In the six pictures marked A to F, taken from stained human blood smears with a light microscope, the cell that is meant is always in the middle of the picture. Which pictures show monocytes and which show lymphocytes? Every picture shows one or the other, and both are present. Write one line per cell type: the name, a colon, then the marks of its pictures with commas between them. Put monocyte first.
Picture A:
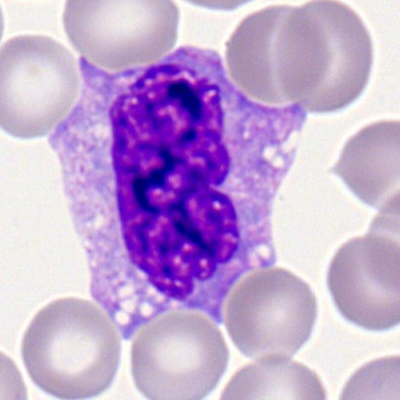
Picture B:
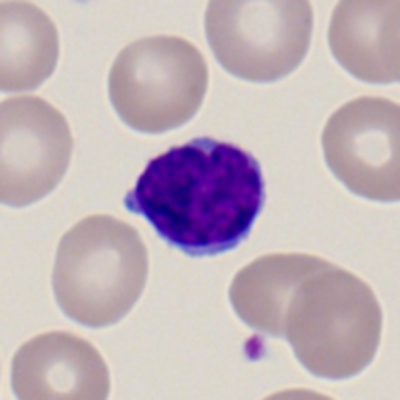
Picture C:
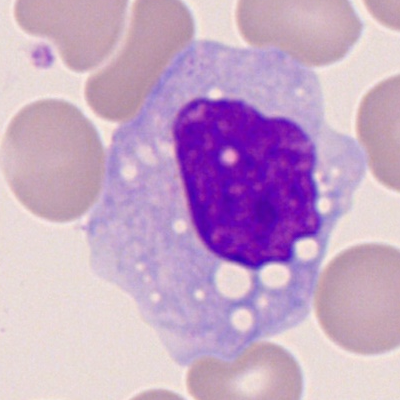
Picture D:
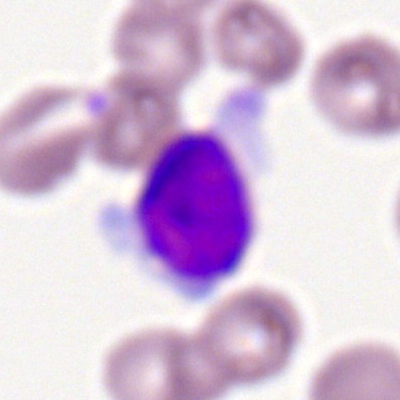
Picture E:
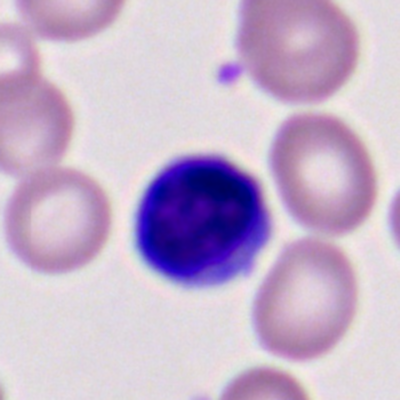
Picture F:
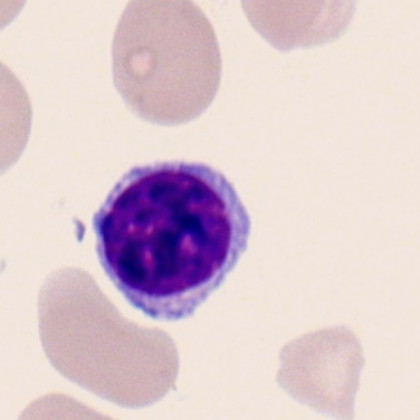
monocyte: A, C
lymphocyte: B, D, E, F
